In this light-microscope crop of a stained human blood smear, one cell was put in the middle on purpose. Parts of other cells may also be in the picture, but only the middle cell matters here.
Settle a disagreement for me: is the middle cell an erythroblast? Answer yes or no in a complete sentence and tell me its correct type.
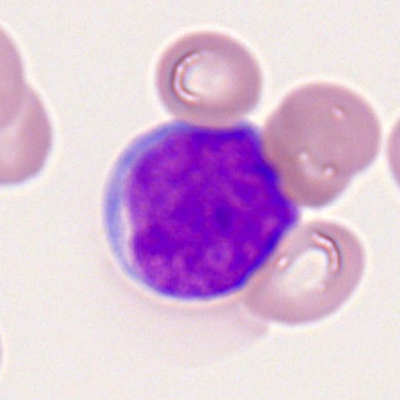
No, the cell in the middle should be called a myeloblast instead of an erythroblast.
